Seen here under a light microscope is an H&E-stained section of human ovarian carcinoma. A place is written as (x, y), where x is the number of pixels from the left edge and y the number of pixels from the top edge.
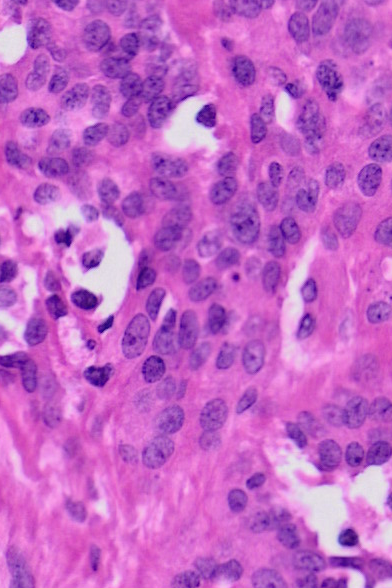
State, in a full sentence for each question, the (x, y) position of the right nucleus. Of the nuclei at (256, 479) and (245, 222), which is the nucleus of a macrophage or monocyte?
The nucleus at (256, 479) is the one of the two that belongs to a macrophage or monocyte.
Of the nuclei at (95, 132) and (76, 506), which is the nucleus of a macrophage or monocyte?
Of the two nuclei, that at (95, 132) is the nucleus of a macrophage or monocyte.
